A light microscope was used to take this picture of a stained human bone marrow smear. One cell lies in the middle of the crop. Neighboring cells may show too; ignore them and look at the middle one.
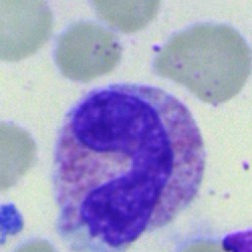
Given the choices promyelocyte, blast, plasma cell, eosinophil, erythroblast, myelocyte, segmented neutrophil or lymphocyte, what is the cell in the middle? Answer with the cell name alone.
eosinophil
